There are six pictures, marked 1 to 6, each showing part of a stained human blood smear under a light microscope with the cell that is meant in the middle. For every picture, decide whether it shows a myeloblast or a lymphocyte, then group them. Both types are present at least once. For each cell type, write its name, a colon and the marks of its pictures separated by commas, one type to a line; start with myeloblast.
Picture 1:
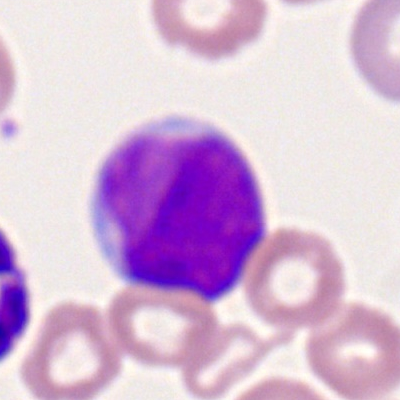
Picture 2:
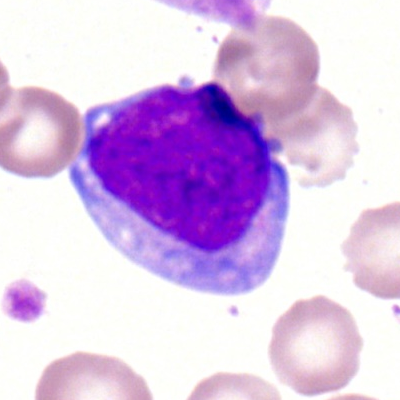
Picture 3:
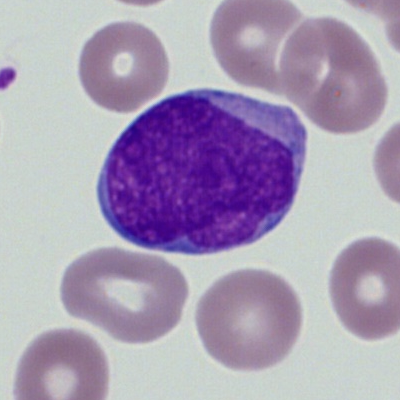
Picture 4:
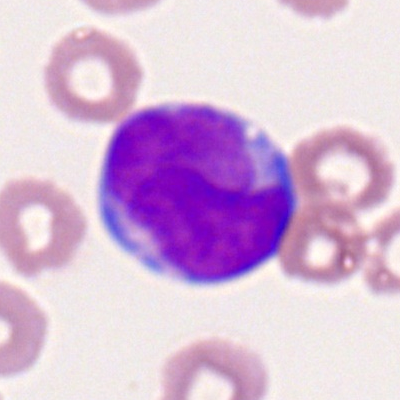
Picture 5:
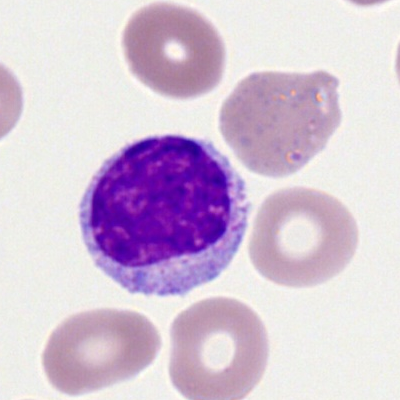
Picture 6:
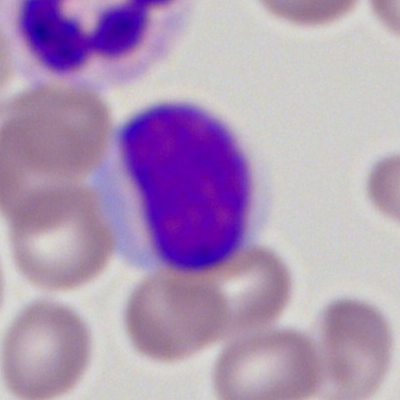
myeloblast: 1, 2, 3, 4
lymphocyte: 5, 6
